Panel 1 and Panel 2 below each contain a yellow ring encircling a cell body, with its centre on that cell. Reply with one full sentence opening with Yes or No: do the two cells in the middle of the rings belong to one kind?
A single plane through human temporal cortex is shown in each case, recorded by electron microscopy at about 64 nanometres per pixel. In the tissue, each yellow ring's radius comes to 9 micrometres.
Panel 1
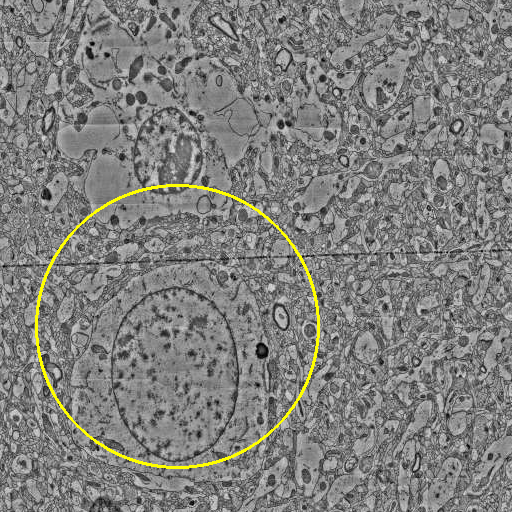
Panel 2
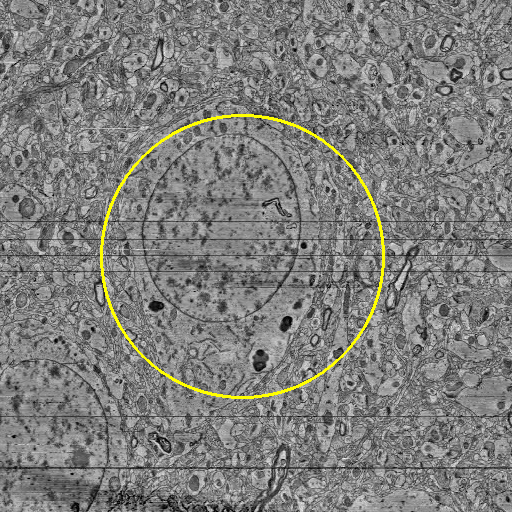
Yes, the cells at the middle of the Panel 1 ring and the Panel 2 ring are of one kind.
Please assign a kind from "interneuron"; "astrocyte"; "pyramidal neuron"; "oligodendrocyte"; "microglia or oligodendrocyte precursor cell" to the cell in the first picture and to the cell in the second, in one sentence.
The second cell is a pyramidal neuron, just as the first is.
